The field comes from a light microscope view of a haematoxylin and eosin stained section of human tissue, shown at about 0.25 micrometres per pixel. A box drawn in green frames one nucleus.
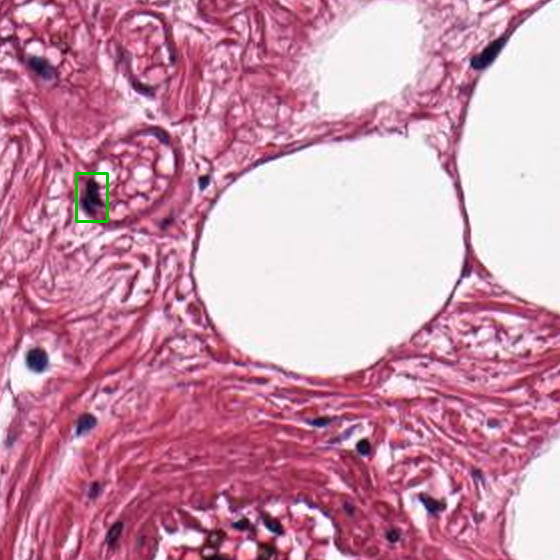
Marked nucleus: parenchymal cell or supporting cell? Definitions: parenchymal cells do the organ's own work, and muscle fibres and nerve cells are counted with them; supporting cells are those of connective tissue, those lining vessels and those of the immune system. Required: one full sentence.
The marked nucleus is held by a supporting cell.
